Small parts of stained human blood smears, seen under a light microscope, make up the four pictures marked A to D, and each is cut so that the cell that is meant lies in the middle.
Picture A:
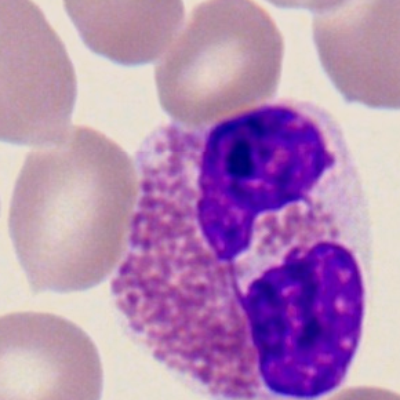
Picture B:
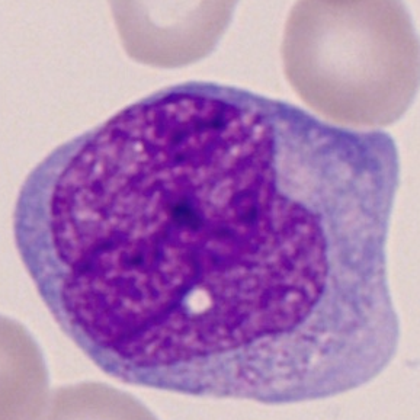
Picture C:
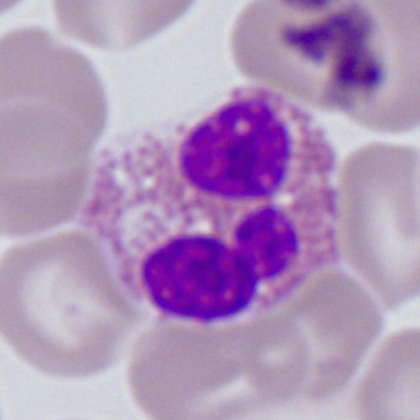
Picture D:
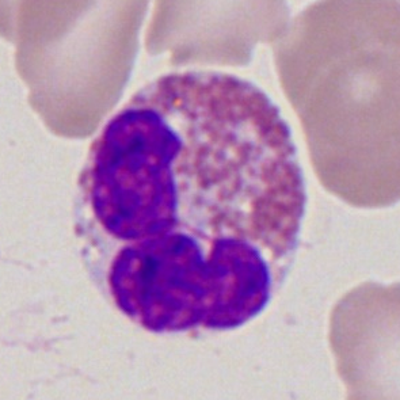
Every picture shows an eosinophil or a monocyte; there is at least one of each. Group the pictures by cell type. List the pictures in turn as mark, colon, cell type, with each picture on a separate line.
A: eosinophil
B: monocyte
C: eosinophil
D: eosinophil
